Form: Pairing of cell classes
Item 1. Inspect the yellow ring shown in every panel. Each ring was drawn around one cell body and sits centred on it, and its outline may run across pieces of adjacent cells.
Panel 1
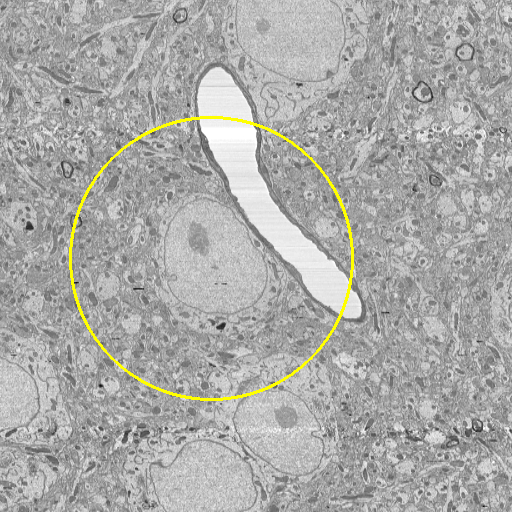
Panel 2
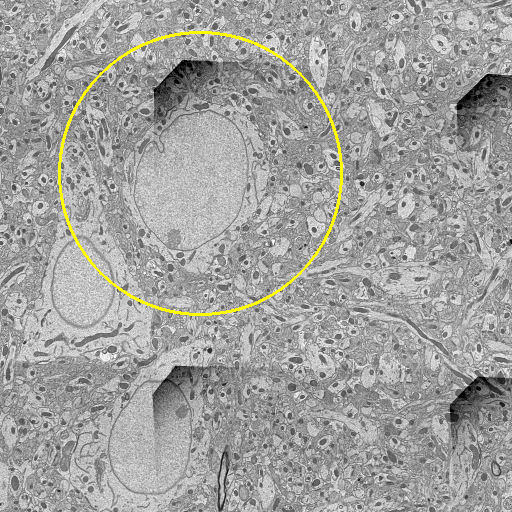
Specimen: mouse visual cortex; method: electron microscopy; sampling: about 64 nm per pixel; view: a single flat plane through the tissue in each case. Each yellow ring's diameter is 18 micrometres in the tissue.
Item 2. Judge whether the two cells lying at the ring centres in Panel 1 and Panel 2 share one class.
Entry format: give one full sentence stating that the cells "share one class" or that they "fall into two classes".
The cells at the ring centres in Panel 1 and Panel 2 share one class.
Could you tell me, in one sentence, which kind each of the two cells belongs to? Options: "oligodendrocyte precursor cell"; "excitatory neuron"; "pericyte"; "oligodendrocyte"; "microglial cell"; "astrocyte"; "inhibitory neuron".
The cell in the first picture is an excitatory neuron, and so is the one in the second.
